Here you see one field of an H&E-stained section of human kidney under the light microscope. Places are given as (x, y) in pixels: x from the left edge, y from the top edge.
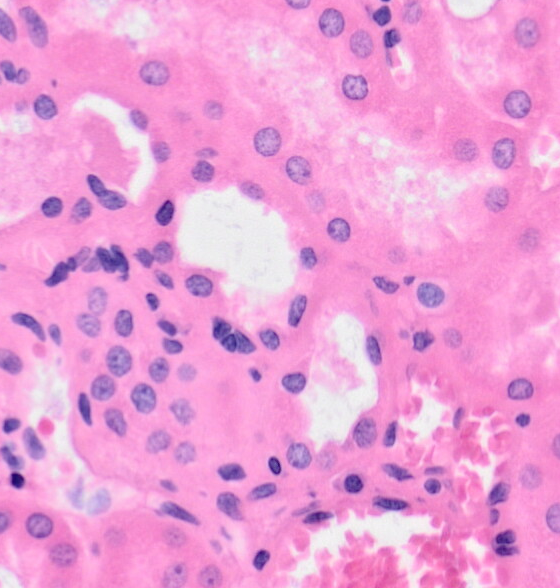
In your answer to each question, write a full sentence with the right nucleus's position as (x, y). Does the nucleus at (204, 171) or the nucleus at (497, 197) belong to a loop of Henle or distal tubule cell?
Of these two nuclei, it is the one at (204, 171) that belongs to a loop of Henle or distal tubule cell.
